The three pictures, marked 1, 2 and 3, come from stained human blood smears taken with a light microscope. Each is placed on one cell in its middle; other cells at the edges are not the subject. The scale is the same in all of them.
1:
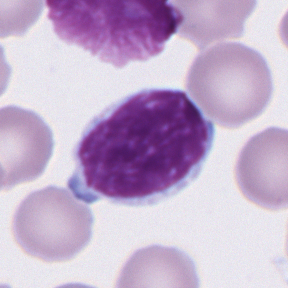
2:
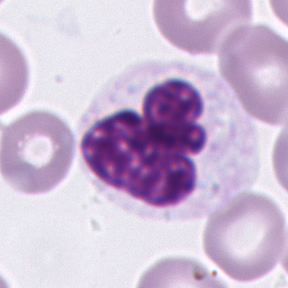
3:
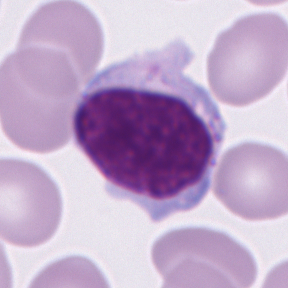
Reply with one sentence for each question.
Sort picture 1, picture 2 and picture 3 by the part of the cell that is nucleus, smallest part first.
They run 2, 3, 1, the least filled first.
